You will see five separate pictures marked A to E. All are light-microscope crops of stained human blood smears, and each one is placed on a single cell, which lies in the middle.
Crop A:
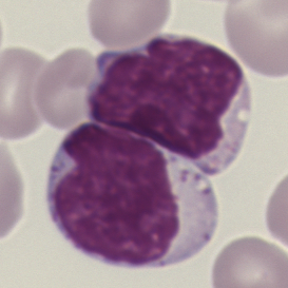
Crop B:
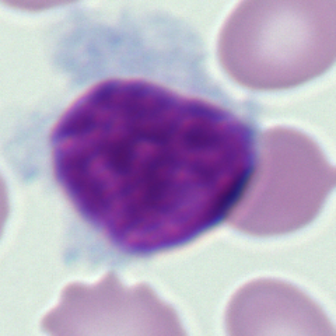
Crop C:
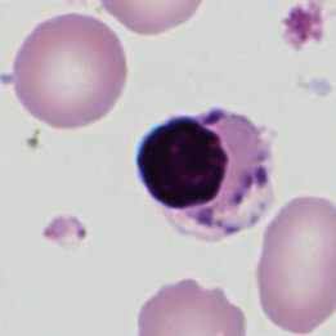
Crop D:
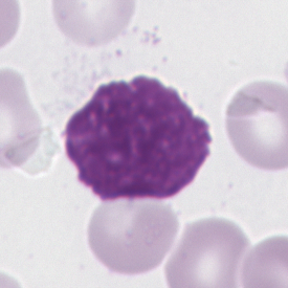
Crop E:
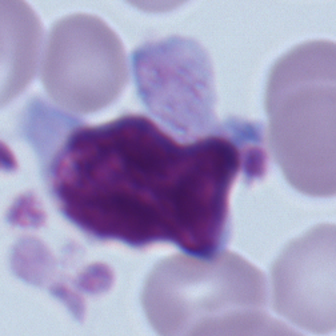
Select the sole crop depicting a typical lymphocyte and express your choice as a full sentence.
The one showing a typical lymphocyte is crop E.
